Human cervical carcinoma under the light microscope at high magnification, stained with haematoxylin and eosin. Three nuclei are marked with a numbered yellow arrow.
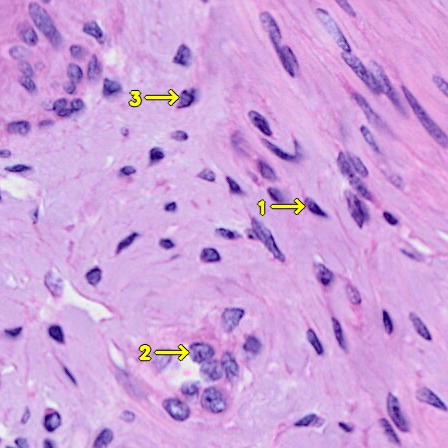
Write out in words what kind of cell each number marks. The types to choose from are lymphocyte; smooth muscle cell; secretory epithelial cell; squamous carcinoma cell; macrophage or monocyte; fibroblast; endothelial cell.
Cell 1 is a fibroblast, cell 2 is an endothelial cell and cell 3 is a fibroblast.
